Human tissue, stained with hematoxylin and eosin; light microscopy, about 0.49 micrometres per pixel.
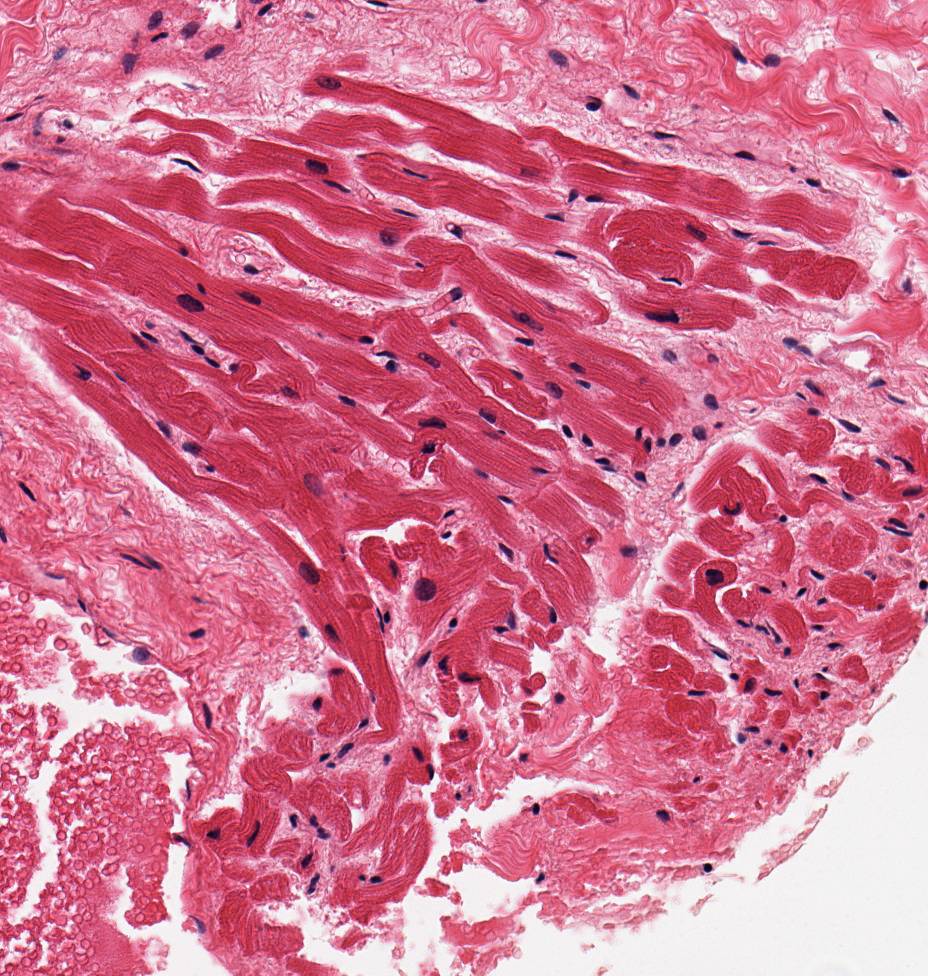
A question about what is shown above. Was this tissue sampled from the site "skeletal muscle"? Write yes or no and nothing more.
no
